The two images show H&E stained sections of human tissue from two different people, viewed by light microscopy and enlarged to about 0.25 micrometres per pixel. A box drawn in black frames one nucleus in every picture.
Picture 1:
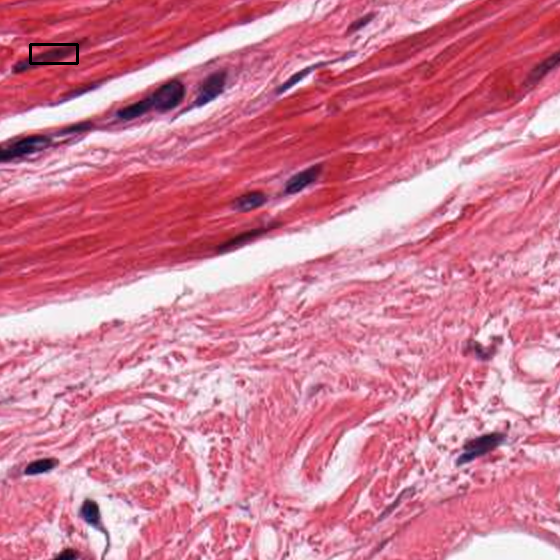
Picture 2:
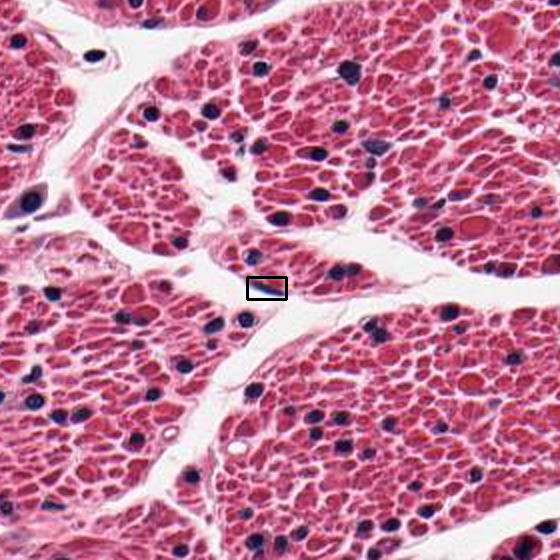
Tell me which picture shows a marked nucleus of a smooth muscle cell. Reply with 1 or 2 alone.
1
